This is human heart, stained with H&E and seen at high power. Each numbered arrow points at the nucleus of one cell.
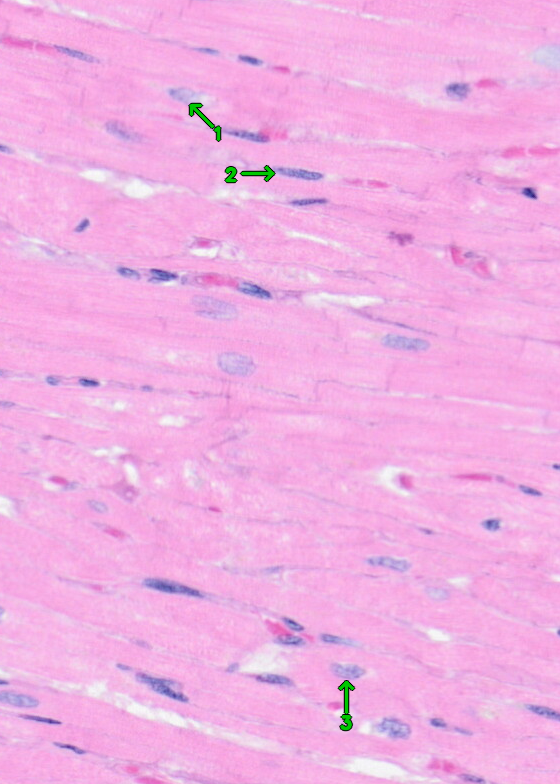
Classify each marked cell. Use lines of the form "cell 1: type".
cell 1: cardiomyocyte
cell 2: fibroblast
cell 3: cardiomyocyte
